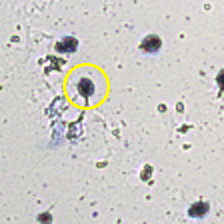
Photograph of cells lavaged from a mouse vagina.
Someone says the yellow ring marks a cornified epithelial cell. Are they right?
They are not: the ring marks a leukocyte.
